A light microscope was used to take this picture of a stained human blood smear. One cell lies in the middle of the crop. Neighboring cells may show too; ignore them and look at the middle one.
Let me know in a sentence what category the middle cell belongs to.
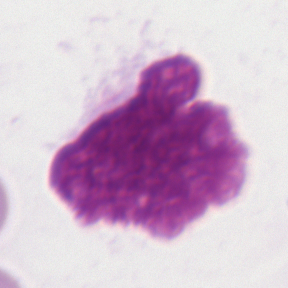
Of the cells in this crop, the central one is a smudge cell.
